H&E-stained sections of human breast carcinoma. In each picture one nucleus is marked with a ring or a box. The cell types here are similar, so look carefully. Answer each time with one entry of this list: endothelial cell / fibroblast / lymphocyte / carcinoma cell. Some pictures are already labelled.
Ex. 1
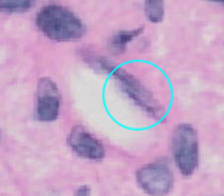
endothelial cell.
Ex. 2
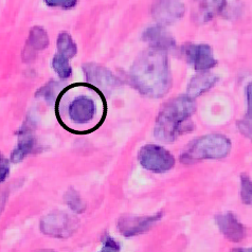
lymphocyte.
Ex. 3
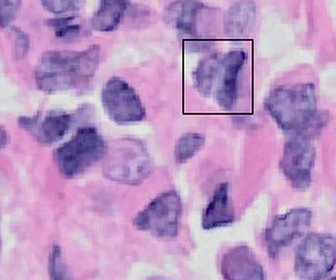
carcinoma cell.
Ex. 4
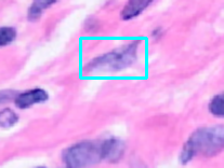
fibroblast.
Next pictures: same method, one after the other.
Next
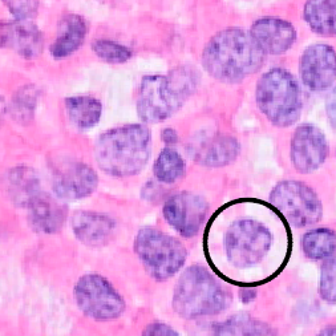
carcinoma cell.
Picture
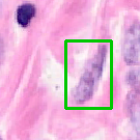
fibroblast.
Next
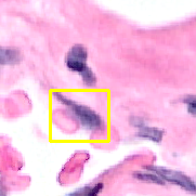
endothelial cell.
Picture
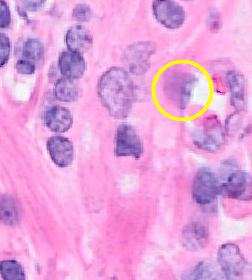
endothelial cell.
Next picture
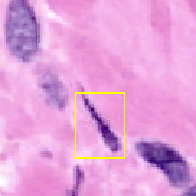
fibroblast.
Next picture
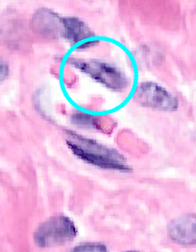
endothelial cell.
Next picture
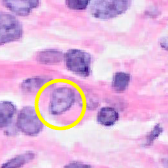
carcinoma cell.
